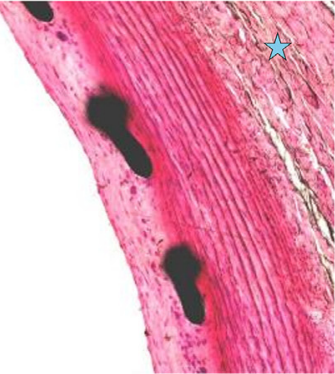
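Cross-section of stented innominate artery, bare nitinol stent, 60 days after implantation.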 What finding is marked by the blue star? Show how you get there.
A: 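Adventitial inflammation. The star sits in the outermost, looser layer of the wall, away from the lumen. Small dark purple nuclei are scattered in the region around the star.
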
